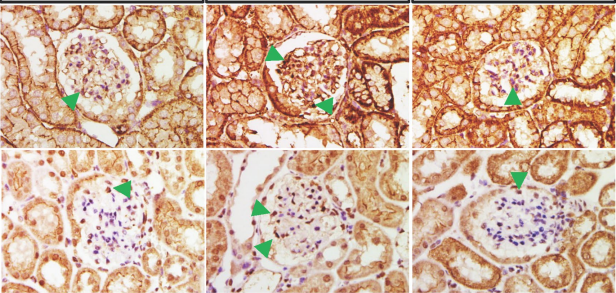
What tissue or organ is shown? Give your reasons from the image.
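Round capillary tufts inside capsules are surrounded by many tubule cross-sections. Tubules are lined by cuboidal epithelial cells around small lumens. The answer: kidney.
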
